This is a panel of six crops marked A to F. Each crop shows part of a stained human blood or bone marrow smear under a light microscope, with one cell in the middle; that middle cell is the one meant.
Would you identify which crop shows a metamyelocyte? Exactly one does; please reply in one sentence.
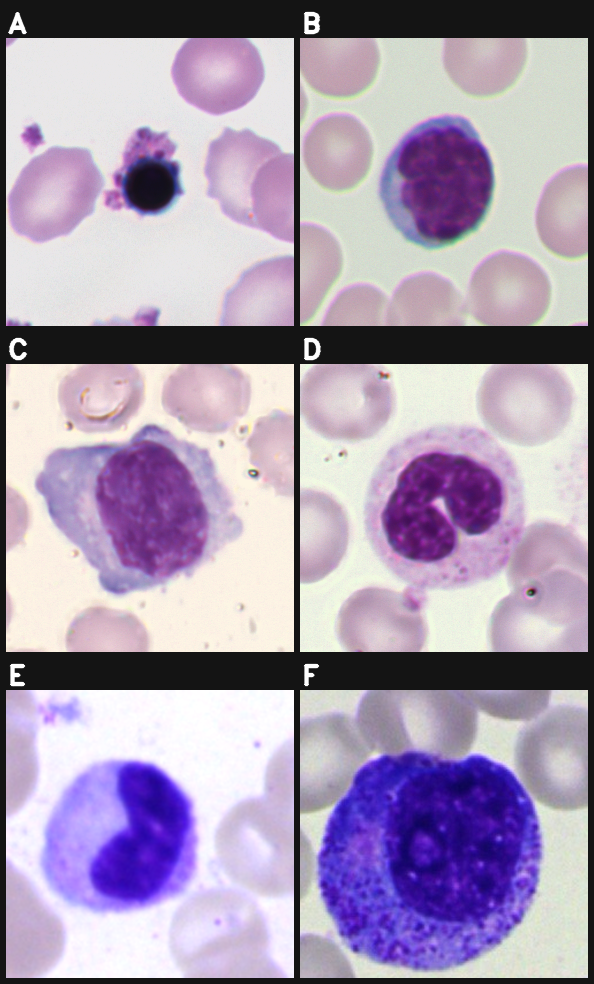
The crop marked E is the one that shows a metamyelocyte.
